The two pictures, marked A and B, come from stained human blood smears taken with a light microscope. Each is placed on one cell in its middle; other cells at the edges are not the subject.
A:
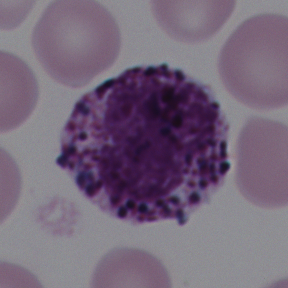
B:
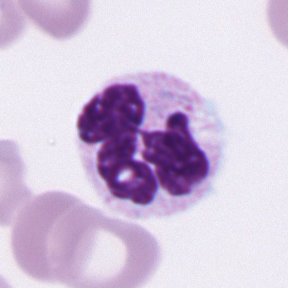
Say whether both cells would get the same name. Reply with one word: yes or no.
no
